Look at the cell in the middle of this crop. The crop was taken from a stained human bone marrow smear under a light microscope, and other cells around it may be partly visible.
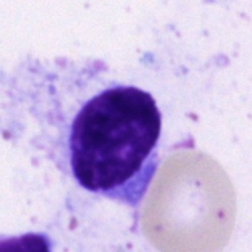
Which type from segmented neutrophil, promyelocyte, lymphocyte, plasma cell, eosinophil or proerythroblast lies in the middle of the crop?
lymphocyte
